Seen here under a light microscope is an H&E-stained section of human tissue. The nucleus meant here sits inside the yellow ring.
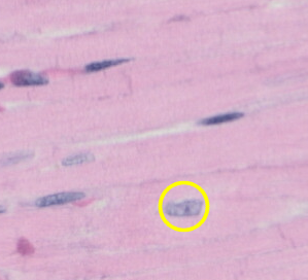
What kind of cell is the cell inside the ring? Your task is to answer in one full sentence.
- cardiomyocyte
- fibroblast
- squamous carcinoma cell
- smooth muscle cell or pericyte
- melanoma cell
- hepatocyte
For the purposes of cell typing, the cell inside the ring is categorized as a cardiomyocyte.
